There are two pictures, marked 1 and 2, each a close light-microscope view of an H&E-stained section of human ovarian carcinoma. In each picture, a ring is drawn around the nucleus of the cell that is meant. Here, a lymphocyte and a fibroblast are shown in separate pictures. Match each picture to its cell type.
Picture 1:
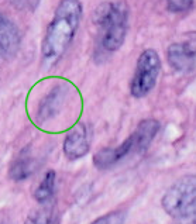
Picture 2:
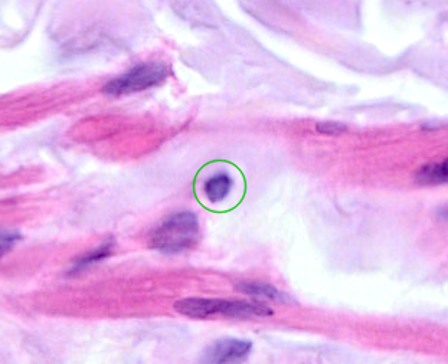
1: fibroblast
2: lymphocyte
